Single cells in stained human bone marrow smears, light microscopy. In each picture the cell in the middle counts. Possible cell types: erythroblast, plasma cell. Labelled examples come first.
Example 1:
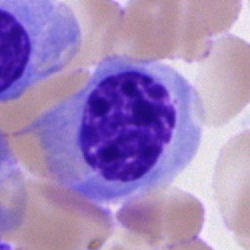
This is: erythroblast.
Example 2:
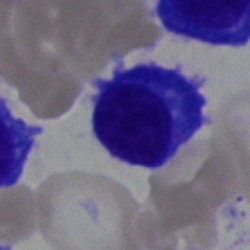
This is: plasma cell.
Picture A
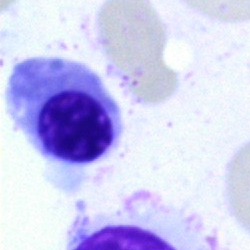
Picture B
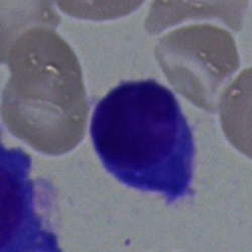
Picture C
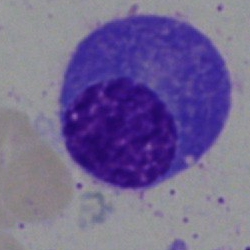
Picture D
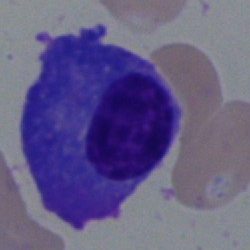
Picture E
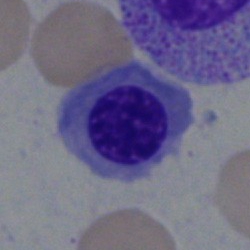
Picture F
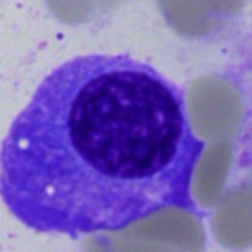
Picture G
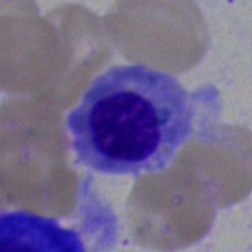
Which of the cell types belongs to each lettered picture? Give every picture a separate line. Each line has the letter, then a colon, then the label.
A: erythroblast.
B: plasma cell.
C: plasma cell.
D: plasma cell.
E: erythroblast.
F: plasma cell.
G: erythroblast.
